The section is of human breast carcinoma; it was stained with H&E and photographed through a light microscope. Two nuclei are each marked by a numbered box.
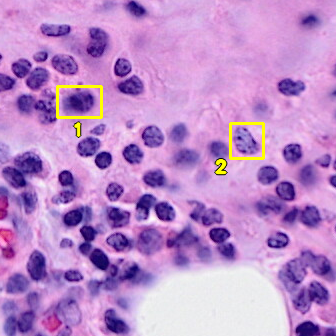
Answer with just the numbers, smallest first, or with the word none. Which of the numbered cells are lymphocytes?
1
